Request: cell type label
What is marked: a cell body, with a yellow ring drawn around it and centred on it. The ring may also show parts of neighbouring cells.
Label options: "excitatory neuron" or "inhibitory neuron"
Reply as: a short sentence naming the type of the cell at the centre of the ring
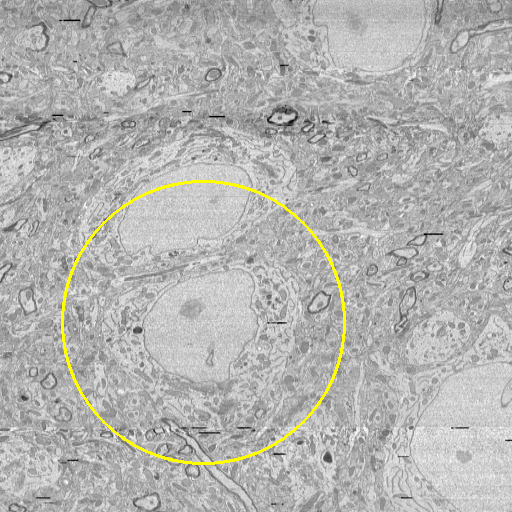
The marked cell body is that of an inhibitory neuron.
